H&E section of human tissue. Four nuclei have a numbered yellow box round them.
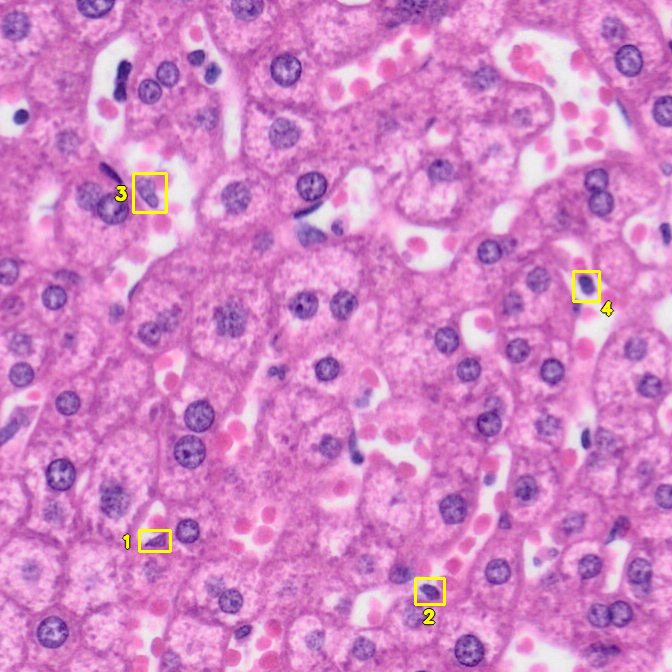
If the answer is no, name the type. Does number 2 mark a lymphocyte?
Yes.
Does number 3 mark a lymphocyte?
No, it is a Kupffer cell.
